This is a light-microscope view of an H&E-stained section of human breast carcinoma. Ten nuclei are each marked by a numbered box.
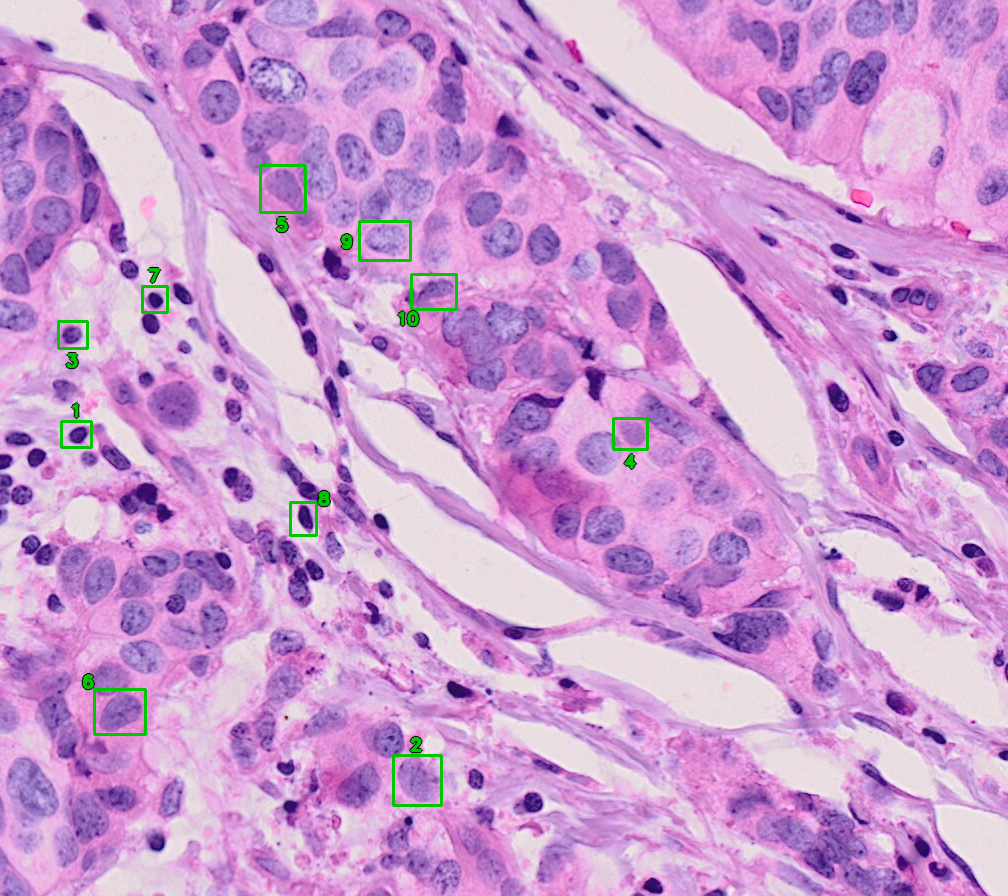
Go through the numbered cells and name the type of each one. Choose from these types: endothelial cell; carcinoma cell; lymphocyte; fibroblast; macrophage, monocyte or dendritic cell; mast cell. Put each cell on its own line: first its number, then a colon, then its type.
1: lymphocyte
2: carcinoma cell
3: lymphocyte
4: carcinoma cell
5: carcinoma cell
6: carcinoma cell
7: lymphocyte
8: lymphocyte
9: carcinoma cell
10: carcinoma cell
